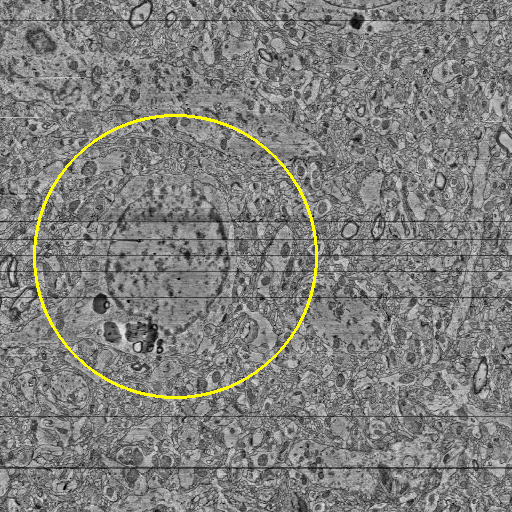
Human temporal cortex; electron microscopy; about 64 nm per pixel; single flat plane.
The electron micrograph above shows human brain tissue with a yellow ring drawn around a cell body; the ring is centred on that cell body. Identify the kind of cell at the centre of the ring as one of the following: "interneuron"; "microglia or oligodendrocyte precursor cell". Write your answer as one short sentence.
The cell at the centre of the ring is an interneuron.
